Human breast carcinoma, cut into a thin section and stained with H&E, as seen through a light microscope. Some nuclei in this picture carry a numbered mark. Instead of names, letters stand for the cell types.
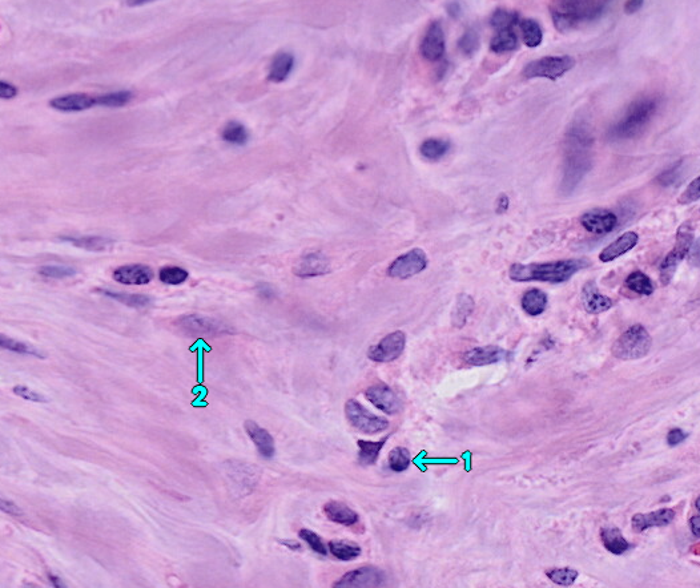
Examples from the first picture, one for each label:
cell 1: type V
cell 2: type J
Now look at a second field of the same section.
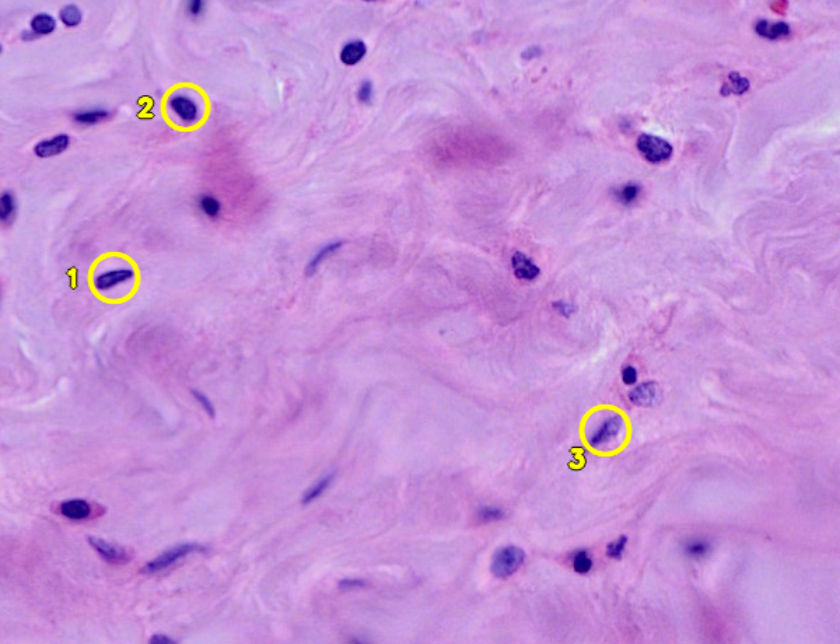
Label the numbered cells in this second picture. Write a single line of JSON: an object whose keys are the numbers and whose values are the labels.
{"1": "type V", "2": "type V", "3": "type J"}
